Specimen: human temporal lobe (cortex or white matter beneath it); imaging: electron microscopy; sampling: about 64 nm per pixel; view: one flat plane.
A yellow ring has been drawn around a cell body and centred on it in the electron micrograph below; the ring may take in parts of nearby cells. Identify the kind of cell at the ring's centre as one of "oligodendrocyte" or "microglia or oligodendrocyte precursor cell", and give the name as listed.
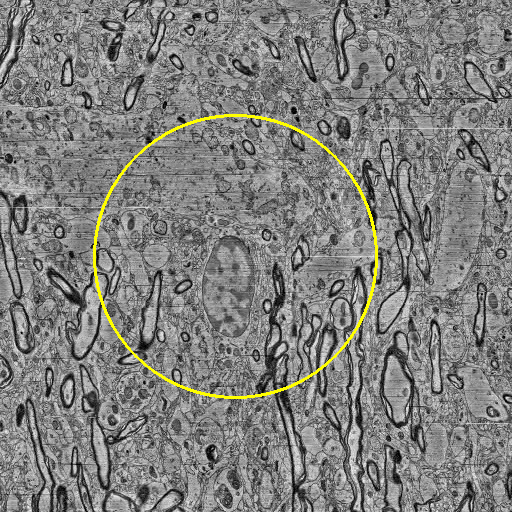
microglia or oligodendrocyte precursor cell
